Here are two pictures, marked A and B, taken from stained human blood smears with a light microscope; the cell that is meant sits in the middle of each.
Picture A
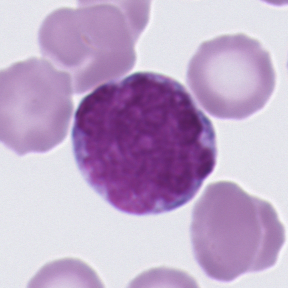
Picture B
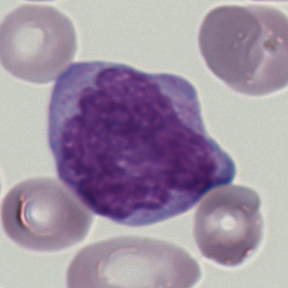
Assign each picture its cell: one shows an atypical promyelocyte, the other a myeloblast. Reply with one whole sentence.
The cell in picture A is a myeloblast, and the one in picture B is an atypical promyelocyte.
